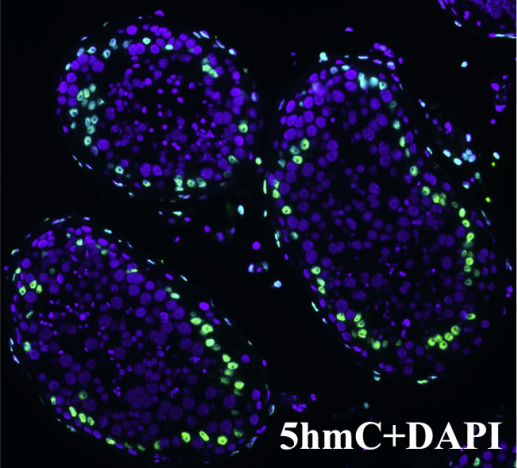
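Cross sections of several tubules show many nuclei stained purple-blue throughout the epithelium, and a subset of nuclei that also appear green. The green nuclei are confined mainly to the outermost layer of cells, lining the tubule boundary as a single interrupted ring. Nuclei toward the tubule interior are larger, round and only purple. Some flattened, elongated nuclei lie outside the tubules in the interstitial spaces and at the tubule edge, some of them pale blue-green.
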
